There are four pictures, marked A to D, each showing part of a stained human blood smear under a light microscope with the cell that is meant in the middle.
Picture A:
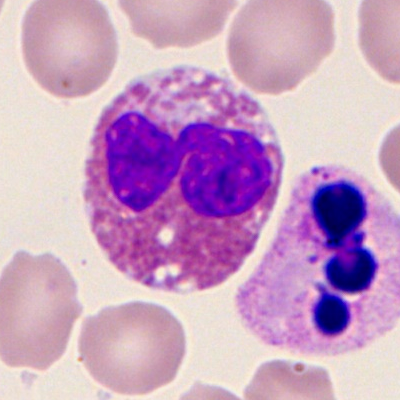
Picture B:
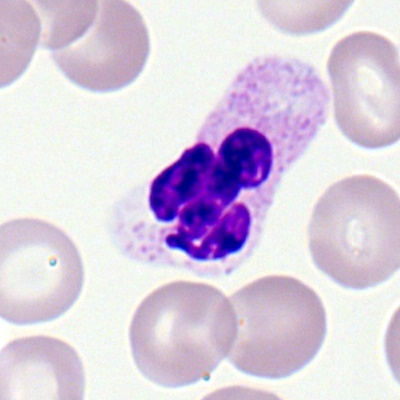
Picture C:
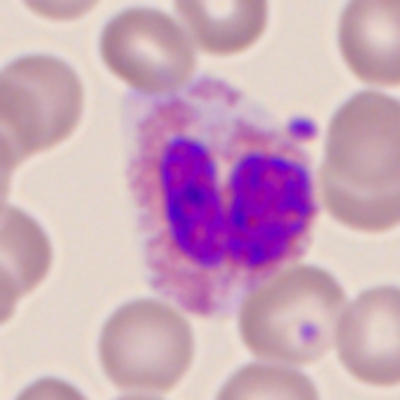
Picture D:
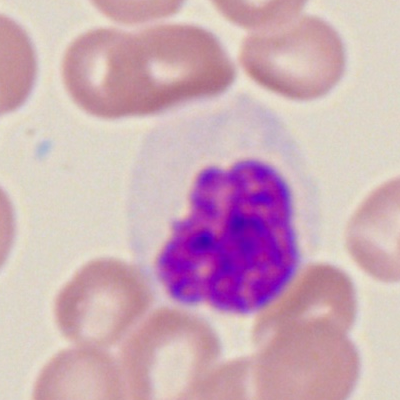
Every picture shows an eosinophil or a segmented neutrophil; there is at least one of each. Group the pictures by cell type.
A: eosinophil
B: segmented neutrophil
C: eosinophil
D: segmented neutrophil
